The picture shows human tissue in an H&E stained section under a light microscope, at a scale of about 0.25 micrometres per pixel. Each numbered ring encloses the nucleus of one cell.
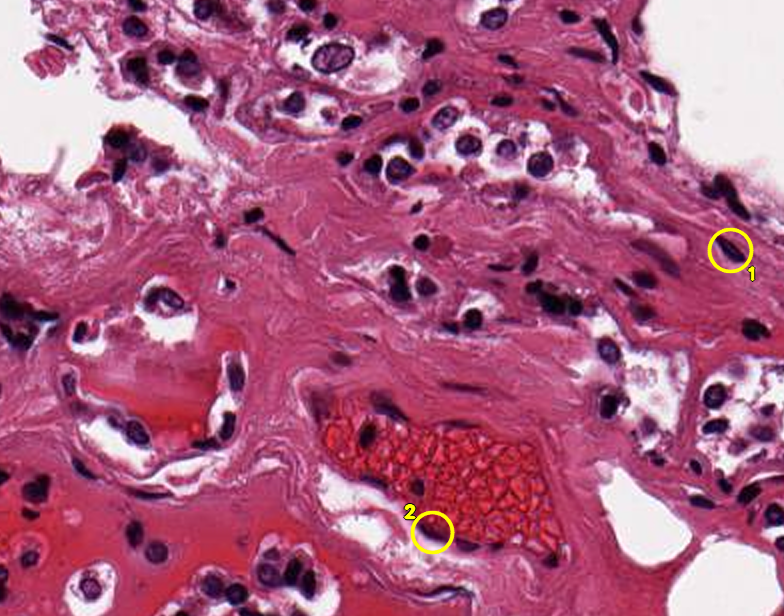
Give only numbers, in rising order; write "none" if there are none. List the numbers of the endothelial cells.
2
